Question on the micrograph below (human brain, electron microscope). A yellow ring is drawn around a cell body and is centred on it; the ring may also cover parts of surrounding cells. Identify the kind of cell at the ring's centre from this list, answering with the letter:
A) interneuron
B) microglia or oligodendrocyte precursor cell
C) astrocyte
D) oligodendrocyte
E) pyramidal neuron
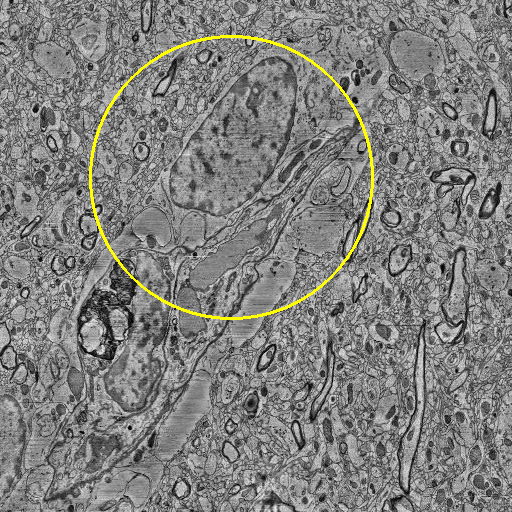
B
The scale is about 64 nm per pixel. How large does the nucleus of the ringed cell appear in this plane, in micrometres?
In this plane the nucleus is clearly longer than it is wide: roughly 12 by 6 micrometres.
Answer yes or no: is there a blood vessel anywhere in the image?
Yes, a blood vessel shows in the picture.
